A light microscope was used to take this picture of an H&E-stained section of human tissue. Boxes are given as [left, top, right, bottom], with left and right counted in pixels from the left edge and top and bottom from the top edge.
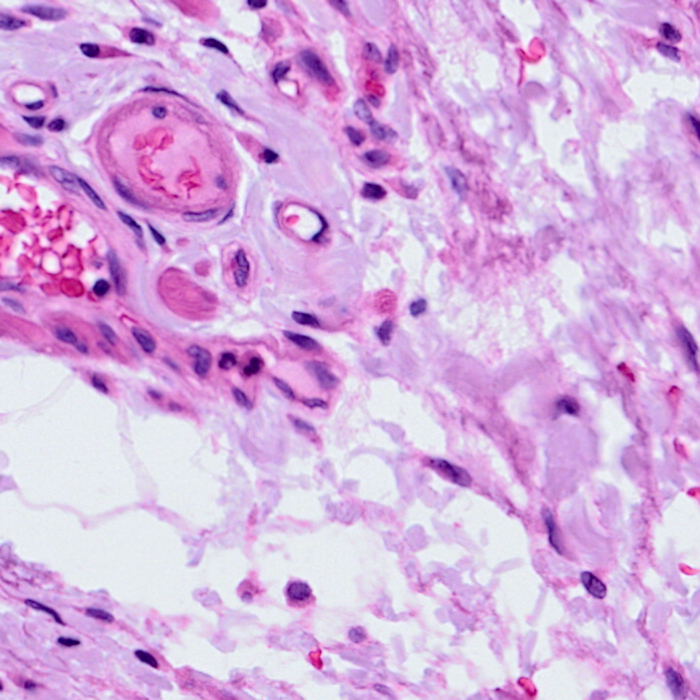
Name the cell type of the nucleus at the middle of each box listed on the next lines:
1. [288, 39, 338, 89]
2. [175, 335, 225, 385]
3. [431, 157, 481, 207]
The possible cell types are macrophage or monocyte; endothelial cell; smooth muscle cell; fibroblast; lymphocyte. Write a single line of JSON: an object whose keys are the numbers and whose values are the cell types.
{"1": "endothelial cell", "2": "endothelial cell", "3": "fibroblast"}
